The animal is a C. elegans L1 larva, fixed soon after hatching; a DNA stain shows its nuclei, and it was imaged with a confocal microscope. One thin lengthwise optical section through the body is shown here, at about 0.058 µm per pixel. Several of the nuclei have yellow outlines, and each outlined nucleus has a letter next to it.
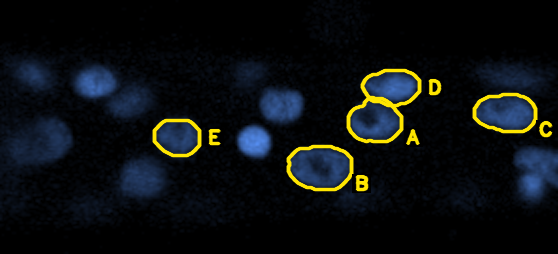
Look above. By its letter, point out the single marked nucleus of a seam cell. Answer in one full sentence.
The nucleus of a seam cell is A.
